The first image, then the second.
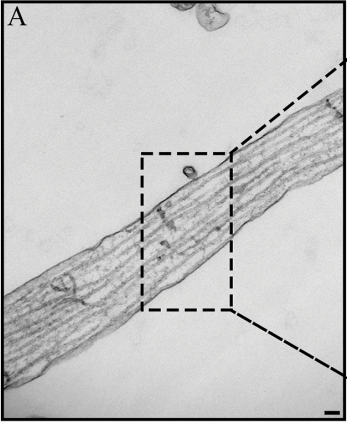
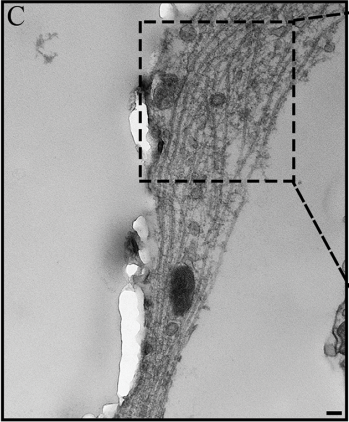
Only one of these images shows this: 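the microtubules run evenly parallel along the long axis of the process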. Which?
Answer: The first image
